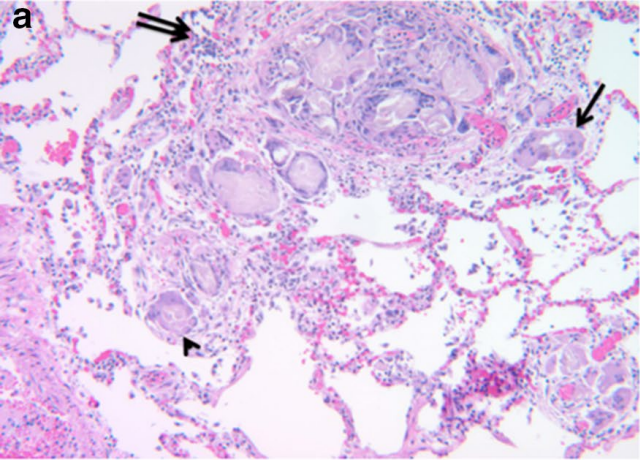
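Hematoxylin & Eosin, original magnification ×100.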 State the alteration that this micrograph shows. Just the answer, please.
perivascular granulomatous reaction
